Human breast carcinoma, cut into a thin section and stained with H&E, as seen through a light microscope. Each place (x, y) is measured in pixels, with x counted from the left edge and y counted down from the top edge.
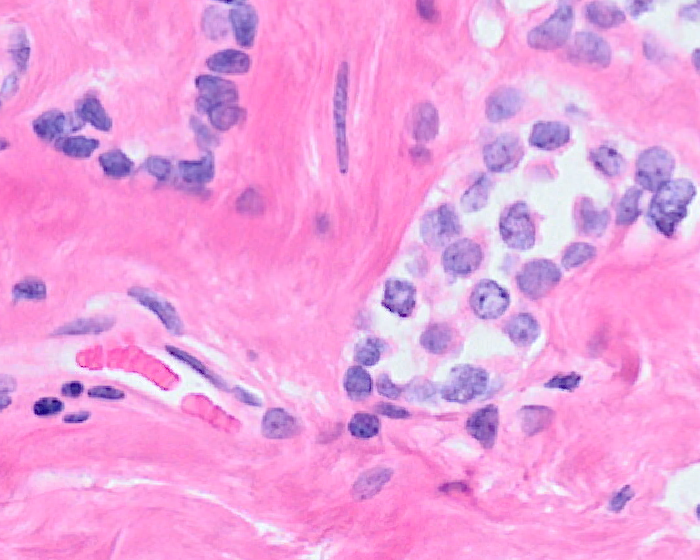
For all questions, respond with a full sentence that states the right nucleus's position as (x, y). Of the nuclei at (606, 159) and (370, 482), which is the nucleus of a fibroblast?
Assigned to a fibroblast is the nucleus located at (370, 482).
